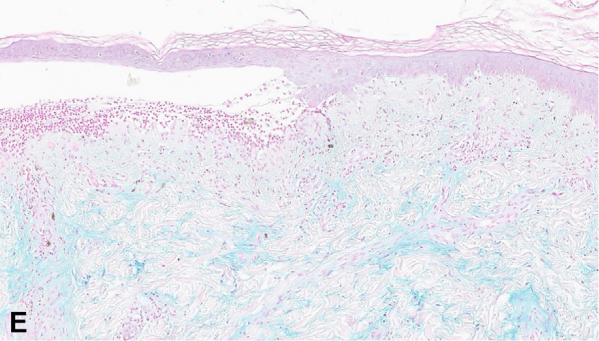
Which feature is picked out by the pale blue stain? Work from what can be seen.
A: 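Mucin deposits. Pale blue material lies between the collagen bundles of the dermis. The blue is most evident in the deeper part of the dermis, away from the epidermis.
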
